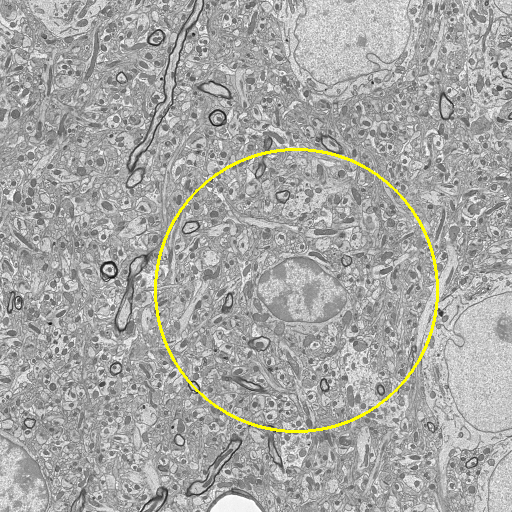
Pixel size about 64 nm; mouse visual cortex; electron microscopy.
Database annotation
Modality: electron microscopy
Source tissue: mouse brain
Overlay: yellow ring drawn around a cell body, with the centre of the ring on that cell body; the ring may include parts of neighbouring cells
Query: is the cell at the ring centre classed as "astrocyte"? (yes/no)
no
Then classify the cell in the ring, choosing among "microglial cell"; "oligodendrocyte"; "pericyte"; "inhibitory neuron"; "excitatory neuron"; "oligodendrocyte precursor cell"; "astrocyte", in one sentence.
The correct answer is that the cell is an oligodendrocyte.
